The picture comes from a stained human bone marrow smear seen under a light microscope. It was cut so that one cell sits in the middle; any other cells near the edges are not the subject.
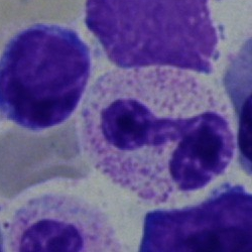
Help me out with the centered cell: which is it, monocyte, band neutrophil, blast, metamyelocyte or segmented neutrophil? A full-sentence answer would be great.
As for the cell in the middle, it is a segmented neutrophil.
